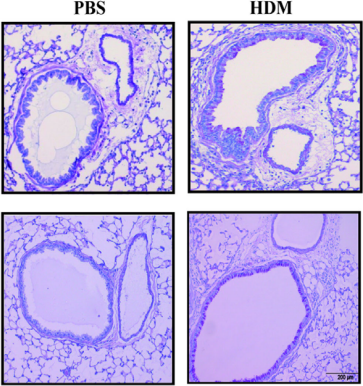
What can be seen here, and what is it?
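Smaller round vessels or airways sit beside the large ones. In some sections the tissue around the airways is thicker and more densely cellular than in others.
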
